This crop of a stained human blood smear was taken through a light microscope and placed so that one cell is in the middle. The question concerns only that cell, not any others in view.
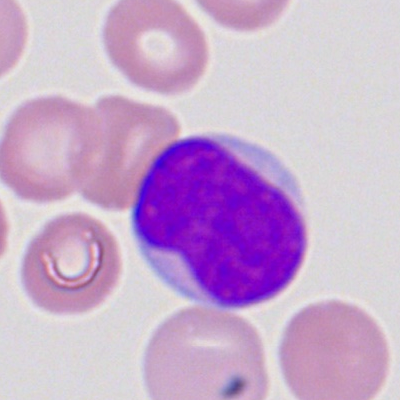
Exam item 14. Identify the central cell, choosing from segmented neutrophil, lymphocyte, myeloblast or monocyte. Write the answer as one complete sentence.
This particular crop is centered on a lymphocyte.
